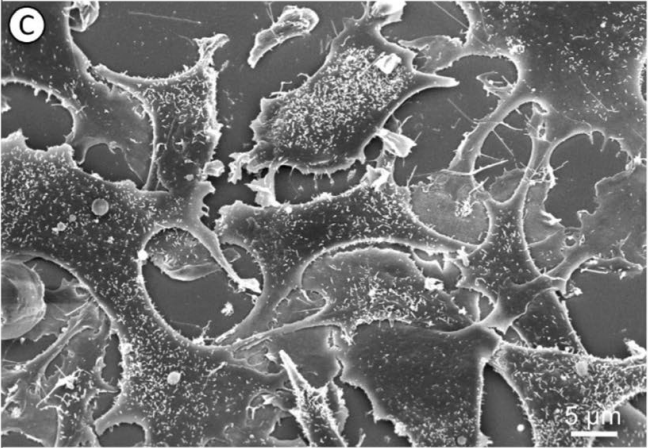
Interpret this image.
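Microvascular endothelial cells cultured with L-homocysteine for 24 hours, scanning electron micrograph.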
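The cells are irregular and branched, joined to one another mostly by narrow strands and bridges, with many open rounded gaps of bare substrate between them rather than a closed sheet. Each cell body is speckled with numerous small bright microvilli, densest over the thicker central parts, while the thin margins are flatter and end in jagged edges and fine spikes. A few small round bodies lie on the cell surfaces.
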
